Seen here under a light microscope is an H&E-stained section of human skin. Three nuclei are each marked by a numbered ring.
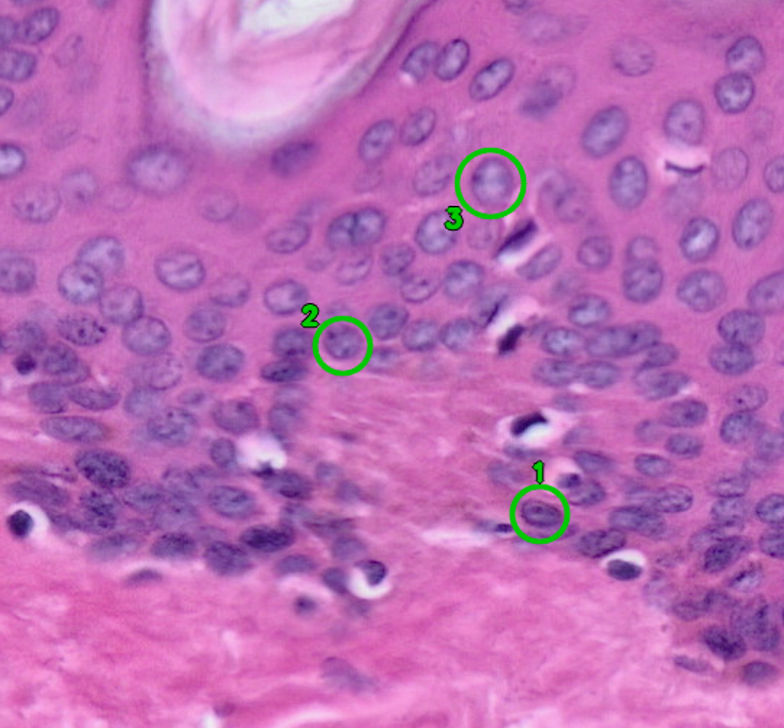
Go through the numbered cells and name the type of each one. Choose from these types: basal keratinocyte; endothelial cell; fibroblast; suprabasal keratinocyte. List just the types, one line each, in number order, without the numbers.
basal keratinocyte
basal keratinocyte
suprabasal keratinocyte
